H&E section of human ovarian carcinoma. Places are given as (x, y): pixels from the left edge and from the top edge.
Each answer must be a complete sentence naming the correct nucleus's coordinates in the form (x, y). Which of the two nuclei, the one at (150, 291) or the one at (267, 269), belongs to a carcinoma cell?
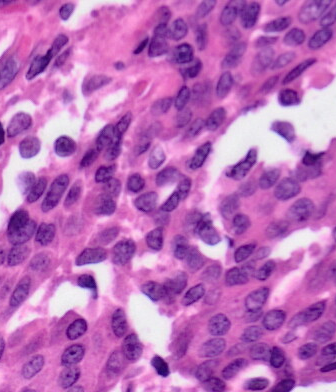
The nucleus contained in a carcinoma cell is the one at (267, 269).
